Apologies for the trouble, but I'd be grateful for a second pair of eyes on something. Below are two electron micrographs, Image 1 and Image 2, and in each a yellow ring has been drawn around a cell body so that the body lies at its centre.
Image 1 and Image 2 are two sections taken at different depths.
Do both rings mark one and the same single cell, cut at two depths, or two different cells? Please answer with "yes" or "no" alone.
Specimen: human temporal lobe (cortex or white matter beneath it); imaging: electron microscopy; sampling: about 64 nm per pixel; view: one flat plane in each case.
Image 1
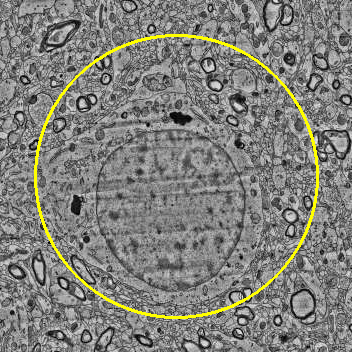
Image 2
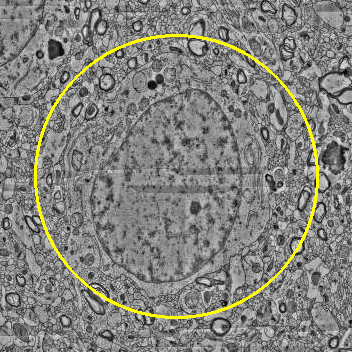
no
